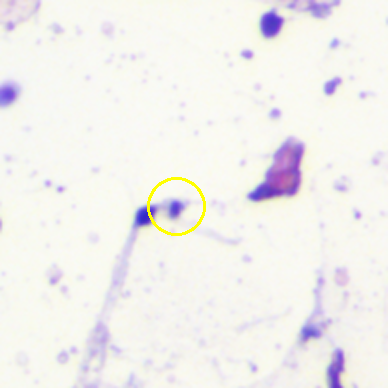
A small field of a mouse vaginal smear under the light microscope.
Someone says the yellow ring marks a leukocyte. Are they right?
They are right: it is a leukocyte.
